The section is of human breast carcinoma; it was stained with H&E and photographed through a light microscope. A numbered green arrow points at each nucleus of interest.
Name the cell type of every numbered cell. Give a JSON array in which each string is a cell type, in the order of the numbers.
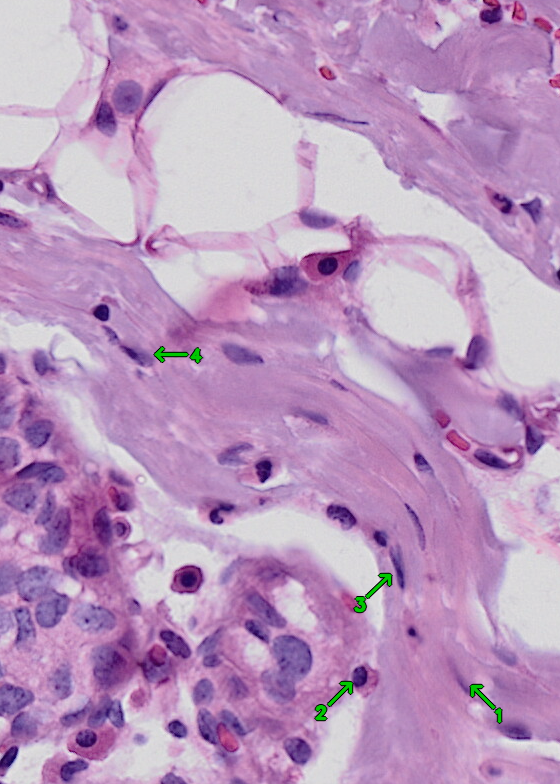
["fibroblast", "mast cell", "fibroblast", "fibroblast"]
